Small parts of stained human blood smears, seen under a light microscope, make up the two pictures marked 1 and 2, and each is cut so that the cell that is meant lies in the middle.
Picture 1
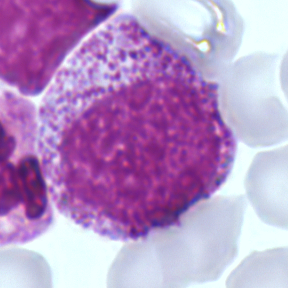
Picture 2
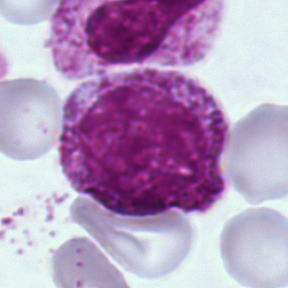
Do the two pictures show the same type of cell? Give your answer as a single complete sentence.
Yes, both are myelocytes.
